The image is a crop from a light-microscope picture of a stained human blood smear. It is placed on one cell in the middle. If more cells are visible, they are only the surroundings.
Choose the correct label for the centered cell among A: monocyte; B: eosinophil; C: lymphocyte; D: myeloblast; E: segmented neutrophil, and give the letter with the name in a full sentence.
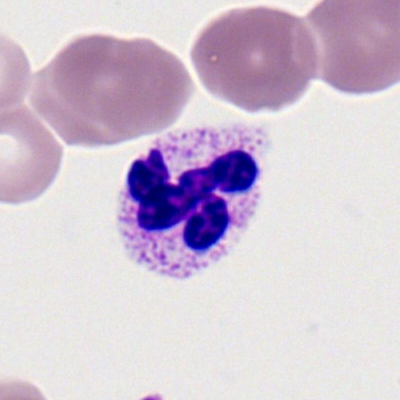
Option E is the keyed answer: the cell in the middle is a segmented neutrophil.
